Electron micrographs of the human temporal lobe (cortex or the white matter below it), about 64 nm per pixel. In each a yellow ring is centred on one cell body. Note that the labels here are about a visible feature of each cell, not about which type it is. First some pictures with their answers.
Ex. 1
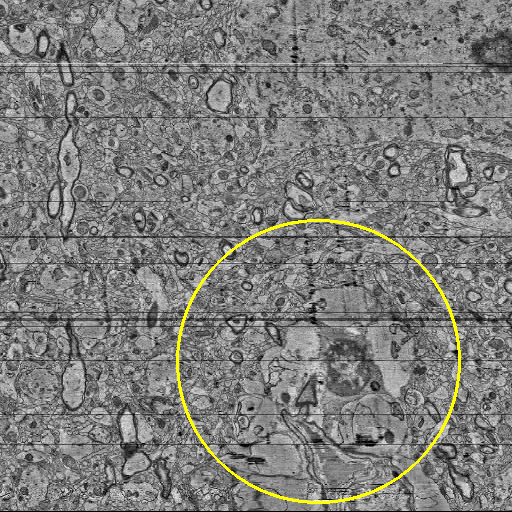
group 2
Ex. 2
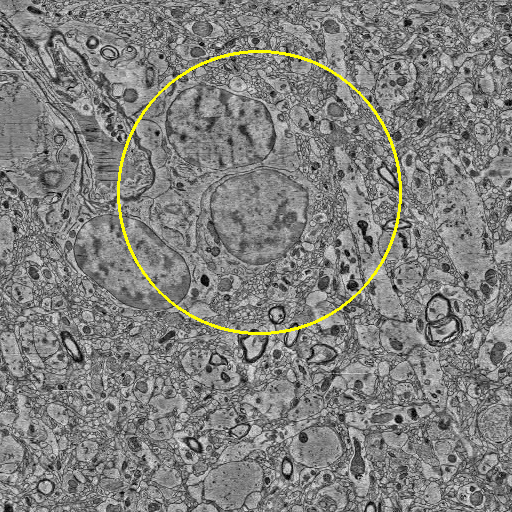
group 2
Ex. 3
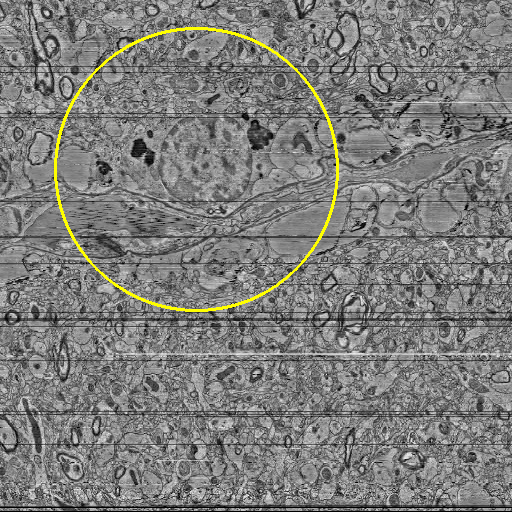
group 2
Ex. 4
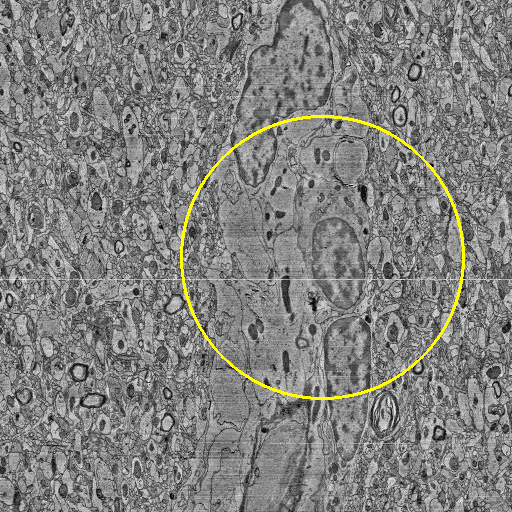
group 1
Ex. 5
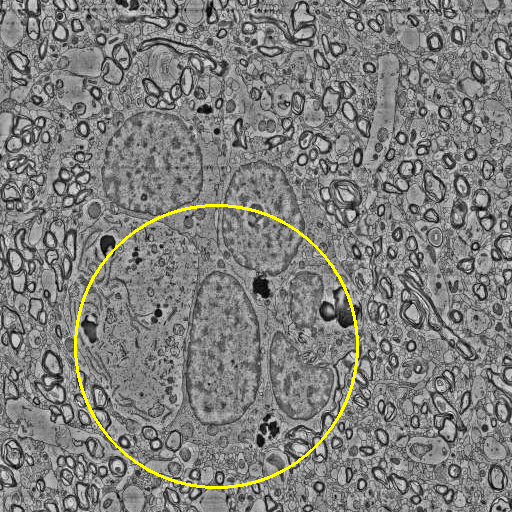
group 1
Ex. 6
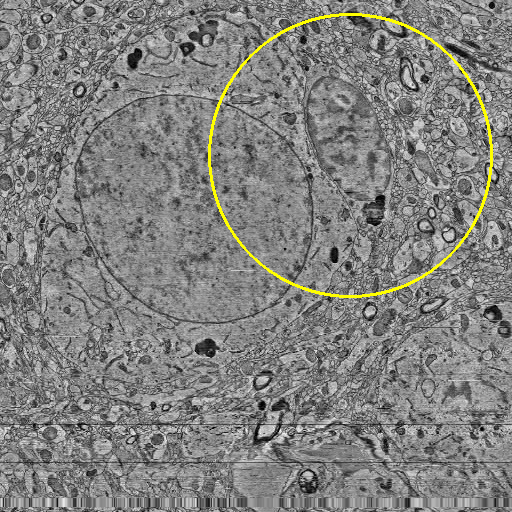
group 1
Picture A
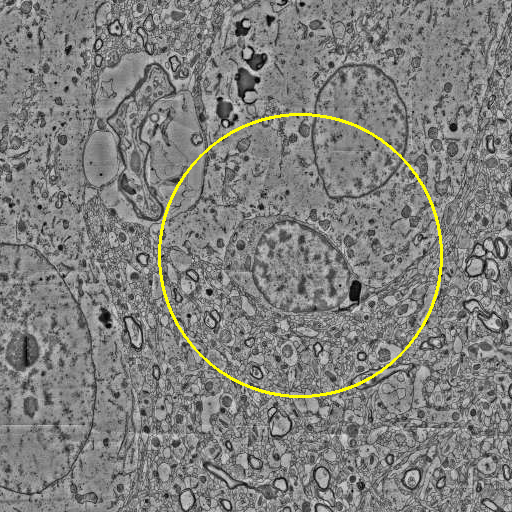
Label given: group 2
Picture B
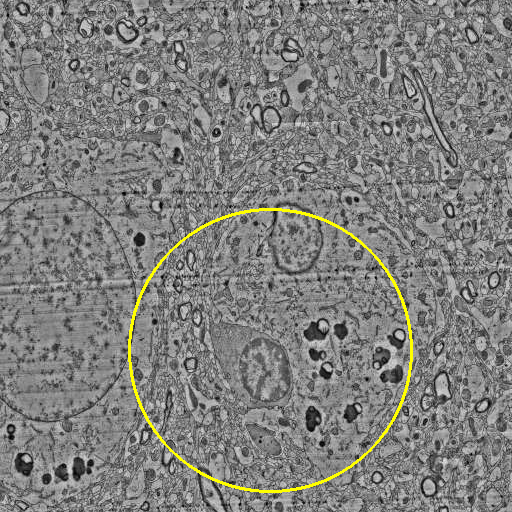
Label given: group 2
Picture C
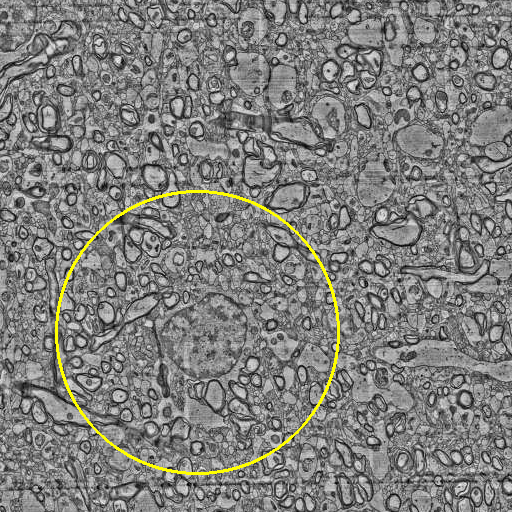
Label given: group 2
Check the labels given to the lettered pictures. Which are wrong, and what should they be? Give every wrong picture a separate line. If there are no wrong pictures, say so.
All labels are correct.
